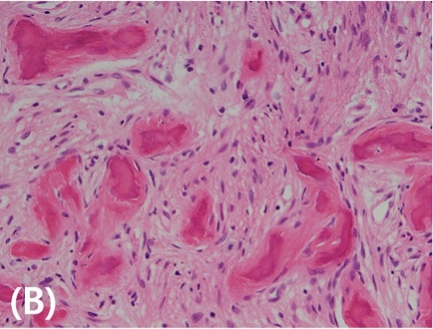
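Immature bone lies in a fibrous stroma of loosely arranged spindle cells with elongated, dark purple nuclei in a pale pink fibrillary background. The bone forms irregular, curved, deep pink fragments that merge into the surrounding stroma, and their surfaces have no lining row of plump osteoblasts.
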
